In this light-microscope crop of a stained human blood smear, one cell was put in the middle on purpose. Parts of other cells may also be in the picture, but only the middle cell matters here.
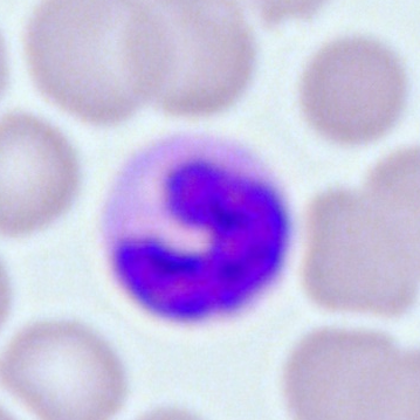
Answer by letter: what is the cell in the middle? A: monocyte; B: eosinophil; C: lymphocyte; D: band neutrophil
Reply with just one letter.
D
